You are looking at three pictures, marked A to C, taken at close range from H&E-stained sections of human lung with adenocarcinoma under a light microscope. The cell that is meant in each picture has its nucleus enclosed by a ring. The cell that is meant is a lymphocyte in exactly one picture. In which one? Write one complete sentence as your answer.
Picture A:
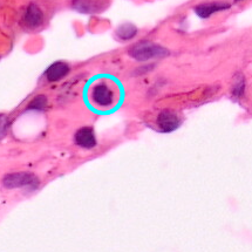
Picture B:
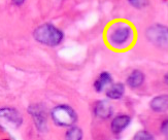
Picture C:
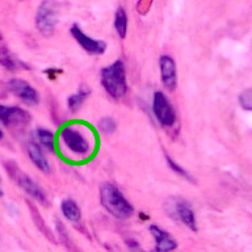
The picture with the lymphocyte is A.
